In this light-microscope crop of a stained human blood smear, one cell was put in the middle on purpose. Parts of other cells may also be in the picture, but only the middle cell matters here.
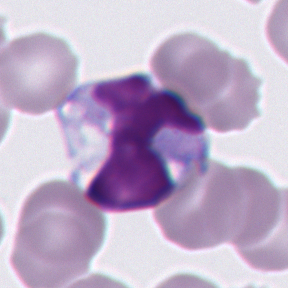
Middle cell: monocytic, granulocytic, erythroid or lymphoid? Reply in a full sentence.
The middle cell is a constituent of the lymphoid lineage.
